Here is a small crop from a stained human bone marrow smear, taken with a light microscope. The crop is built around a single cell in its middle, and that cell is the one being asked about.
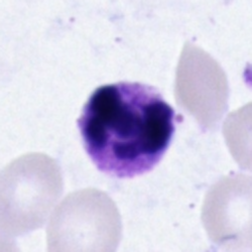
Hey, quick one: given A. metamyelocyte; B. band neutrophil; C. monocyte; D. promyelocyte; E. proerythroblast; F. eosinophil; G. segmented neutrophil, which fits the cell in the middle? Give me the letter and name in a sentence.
Since the cell in the middle is a segmented neutrophil, option G is correct.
